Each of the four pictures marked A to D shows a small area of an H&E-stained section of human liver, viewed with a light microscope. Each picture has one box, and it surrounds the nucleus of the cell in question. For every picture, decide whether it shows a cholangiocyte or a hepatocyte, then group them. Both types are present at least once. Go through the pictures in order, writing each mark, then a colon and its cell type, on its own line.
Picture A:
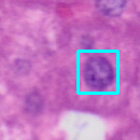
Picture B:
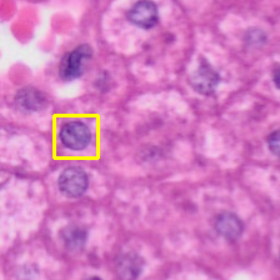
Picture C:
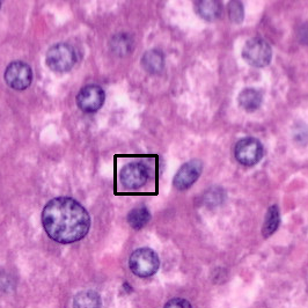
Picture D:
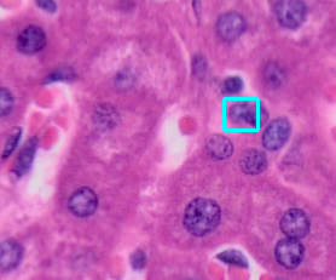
A: hepatocyte
B: hepatocyte
C: hepatocyte
D: cholangiocyte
